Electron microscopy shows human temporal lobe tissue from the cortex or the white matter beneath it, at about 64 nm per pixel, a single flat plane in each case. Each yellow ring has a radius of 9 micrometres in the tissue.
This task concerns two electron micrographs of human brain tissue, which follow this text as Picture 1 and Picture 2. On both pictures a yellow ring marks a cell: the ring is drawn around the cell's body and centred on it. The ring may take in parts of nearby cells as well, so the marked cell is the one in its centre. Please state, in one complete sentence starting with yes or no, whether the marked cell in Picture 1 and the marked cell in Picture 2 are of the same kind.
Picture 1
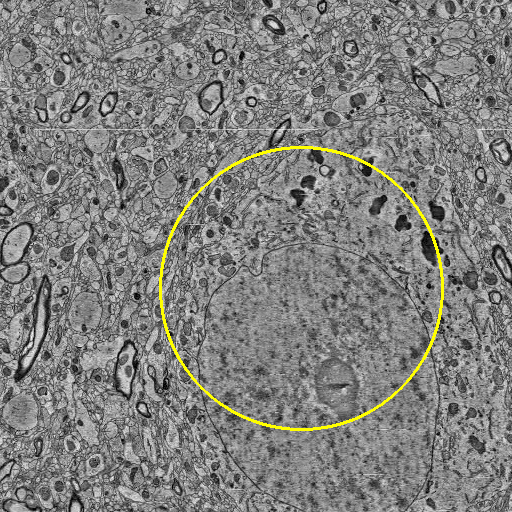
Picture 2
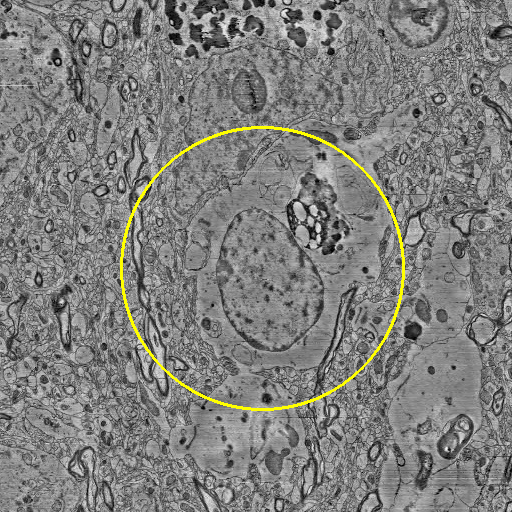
No, the marked cells in the two pictures are of two kinds.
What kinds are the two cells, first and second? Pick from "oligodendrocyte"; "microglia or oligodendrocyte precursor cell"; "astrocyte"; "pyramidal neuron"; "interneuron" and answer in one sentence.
The second picture holds an astrocyte in its ring, and the first holds a pyramidal neuron.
